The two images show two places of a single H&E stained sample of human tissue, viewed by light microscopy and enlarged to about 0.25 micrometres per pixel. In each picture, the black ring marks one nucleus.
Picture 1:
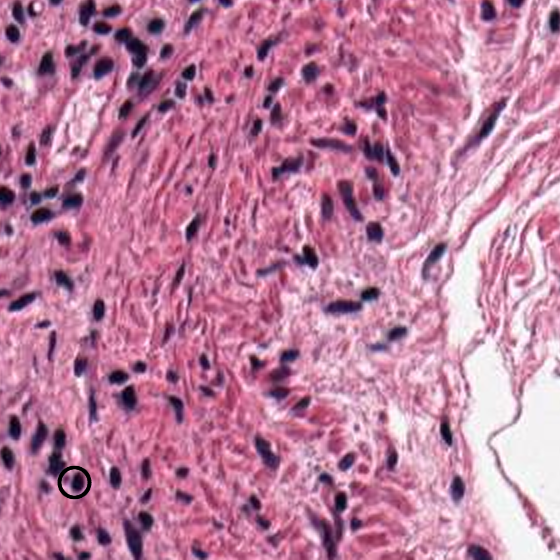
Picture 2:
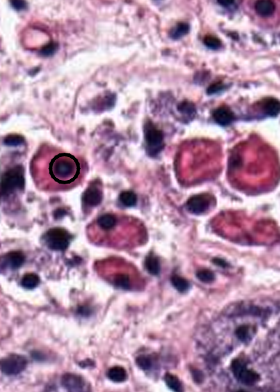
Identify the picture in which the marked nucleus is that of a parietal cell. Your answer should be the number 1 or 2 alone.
2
